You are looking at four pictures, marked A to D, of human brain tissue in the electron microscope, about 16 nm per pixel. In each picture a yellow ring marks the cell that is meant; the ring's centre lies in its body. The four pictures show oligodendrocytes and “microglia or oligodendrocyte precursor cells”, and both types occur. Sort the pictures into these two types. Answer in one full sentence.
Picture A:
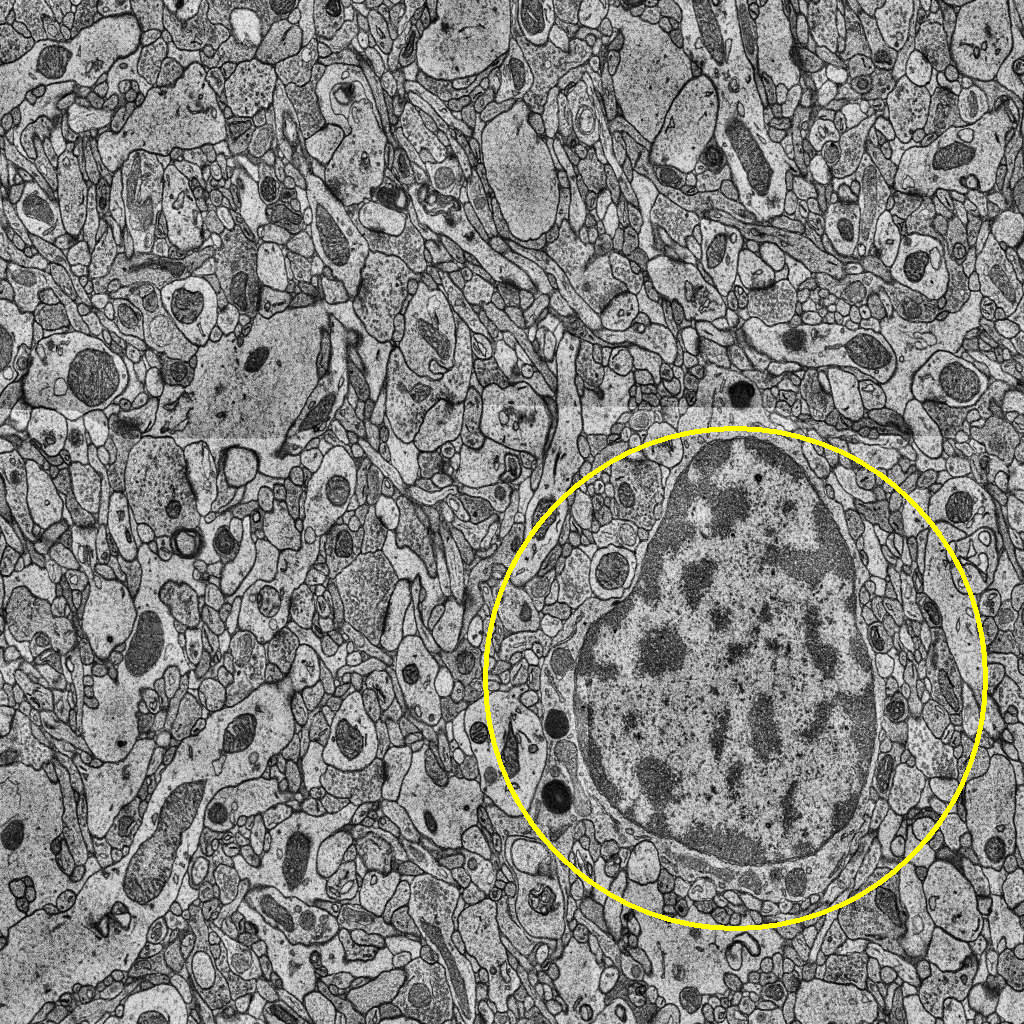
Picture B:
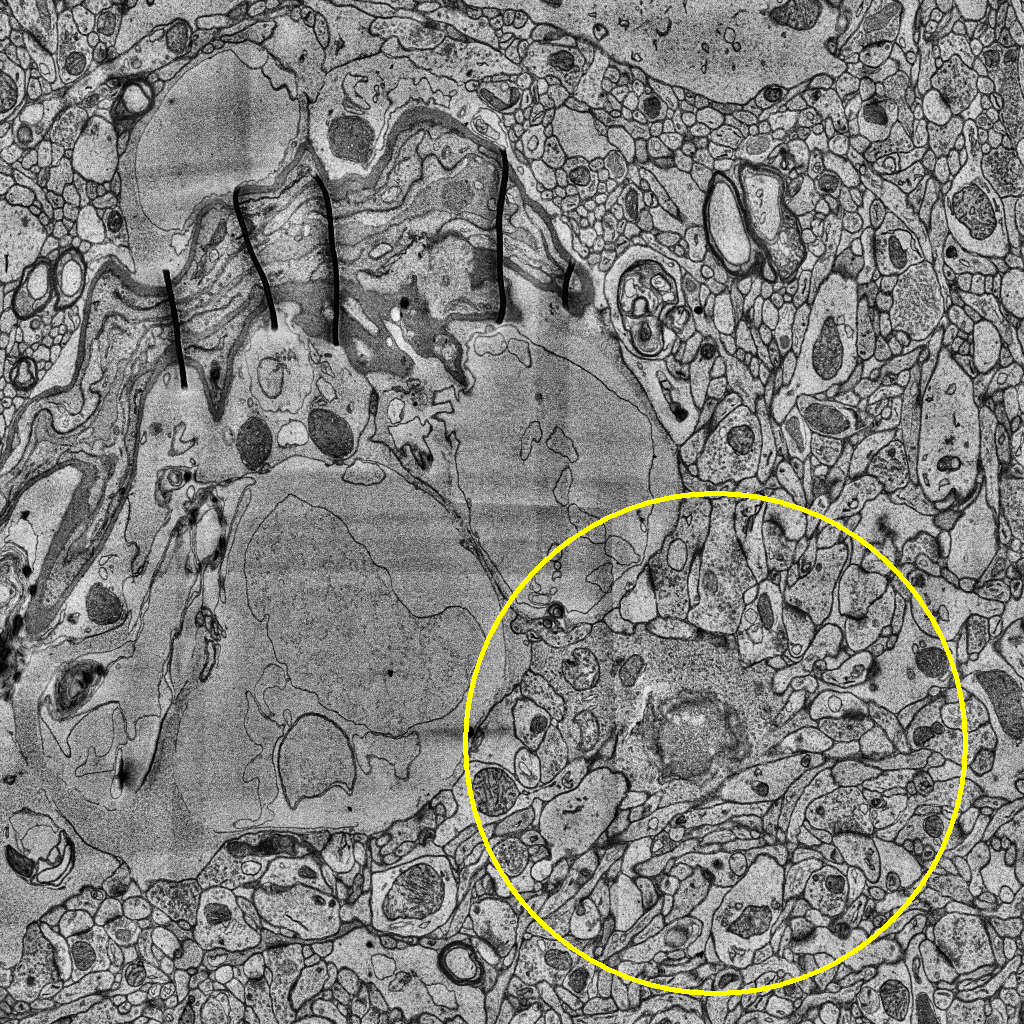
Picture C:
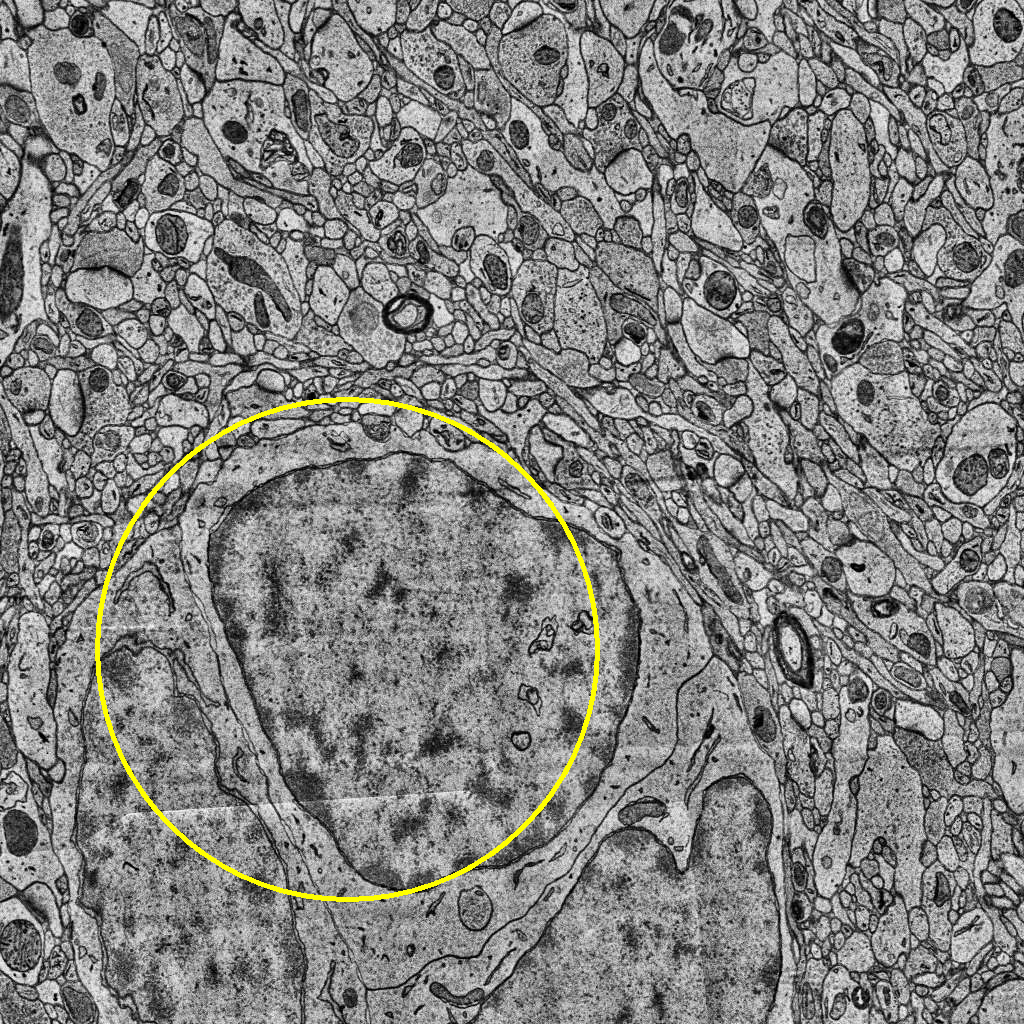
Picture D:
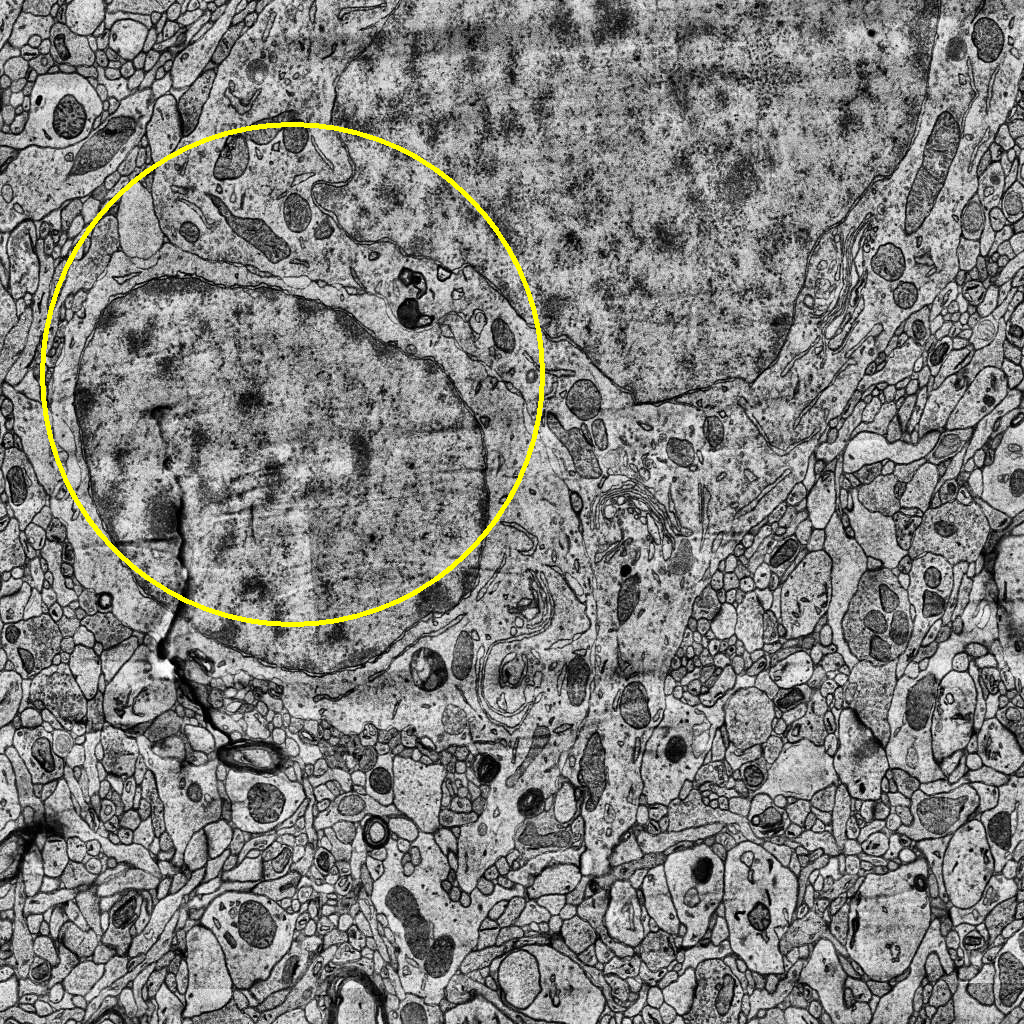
Picture B shows an oligodendrocyte, while pictures A, C and D show “microglia or oligodendrocyte precursor cells”.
